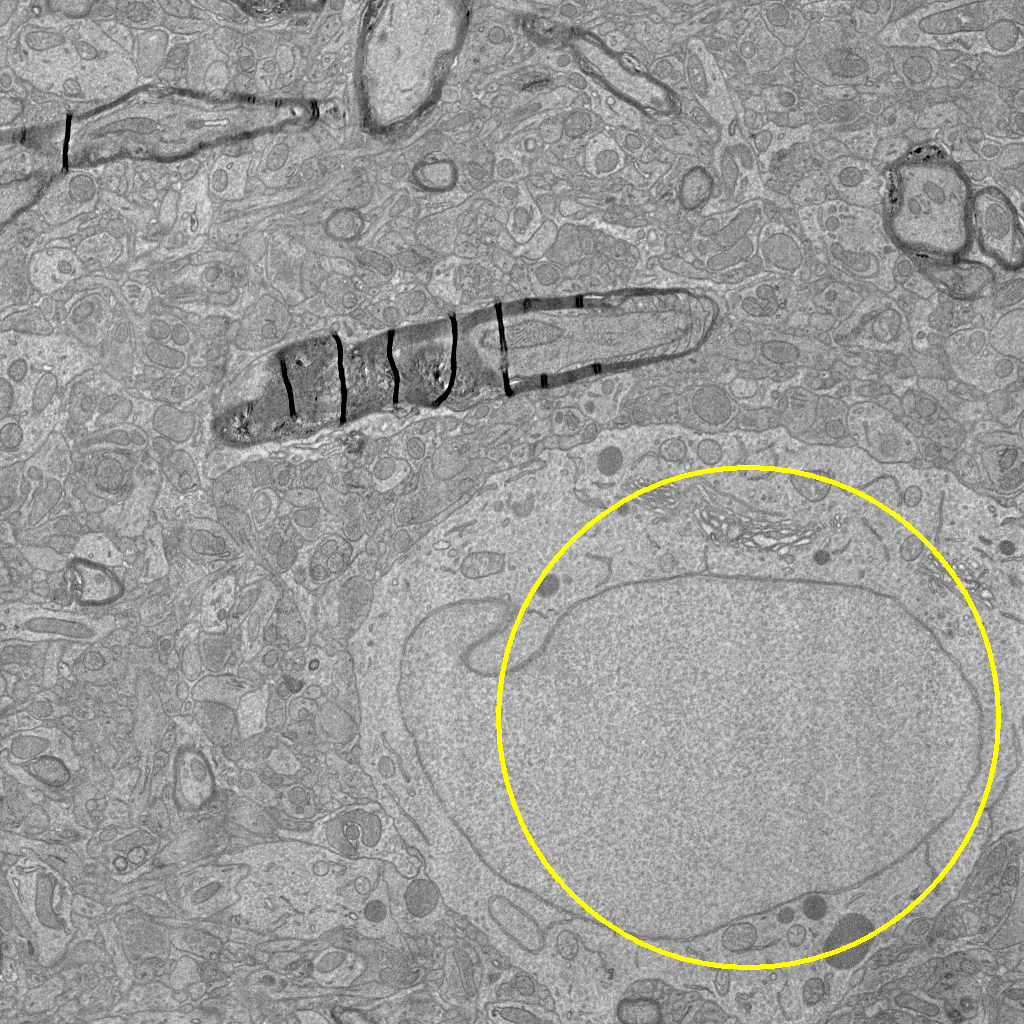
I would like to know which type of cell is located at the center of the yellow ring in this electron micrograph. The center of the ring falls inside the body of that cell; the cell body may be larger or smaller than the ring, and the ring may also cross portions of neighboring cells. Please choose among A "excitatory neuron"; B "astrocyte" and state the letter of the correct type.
A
